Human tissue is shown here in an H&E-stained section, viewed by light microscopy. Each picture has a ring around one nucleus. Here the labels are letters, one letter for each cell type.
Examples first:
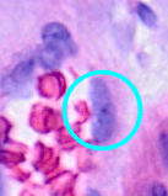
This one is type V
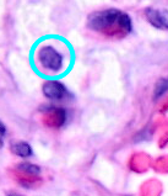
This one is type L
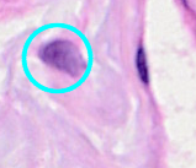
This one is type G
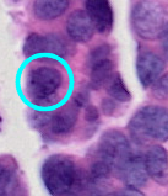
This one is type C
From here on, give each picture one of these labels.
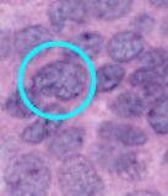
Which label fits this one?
type C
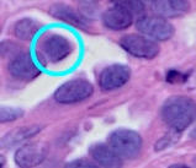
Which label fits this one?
type C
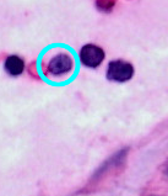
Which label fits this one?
type L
